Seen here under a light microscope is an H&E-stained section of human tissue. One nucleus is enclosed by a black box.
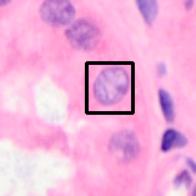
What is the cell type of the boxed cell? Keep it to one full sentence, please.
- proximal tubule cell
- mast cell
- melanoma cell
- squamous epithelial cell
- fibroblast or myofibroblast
In this section of tissue, the boxed cell is a proximal tubule cell.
